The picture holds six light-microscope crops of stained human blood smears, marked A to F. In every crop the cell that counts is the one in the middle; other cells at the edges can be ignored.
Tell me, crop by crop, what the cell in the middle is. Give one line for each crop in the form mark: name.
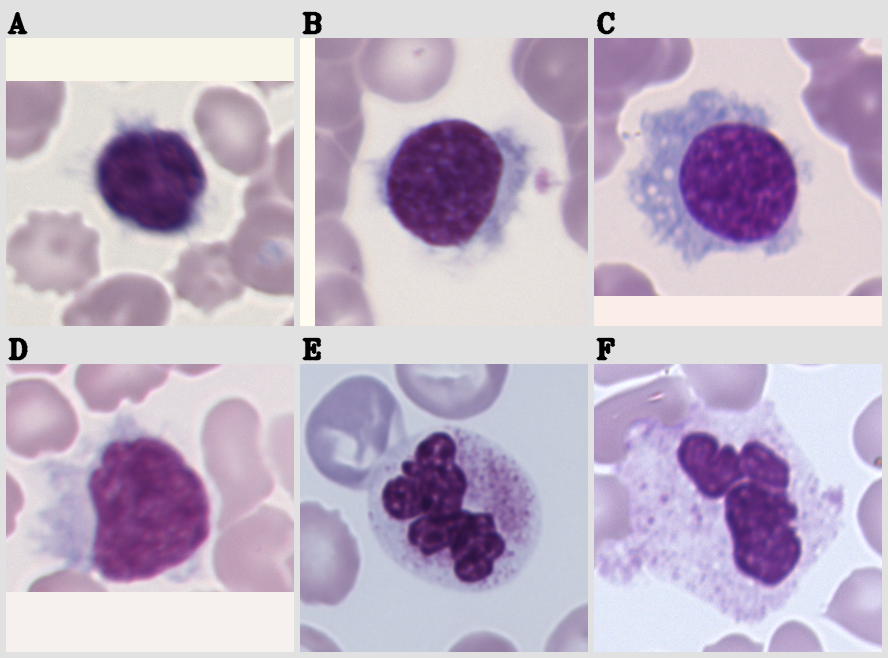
A: hairy cell
B: hairy cell
C: hairy cell
D: hairy cell
E: segmented neutrophil
F: segmented neutrophil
